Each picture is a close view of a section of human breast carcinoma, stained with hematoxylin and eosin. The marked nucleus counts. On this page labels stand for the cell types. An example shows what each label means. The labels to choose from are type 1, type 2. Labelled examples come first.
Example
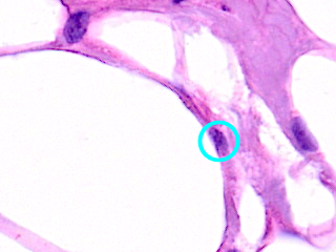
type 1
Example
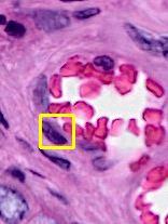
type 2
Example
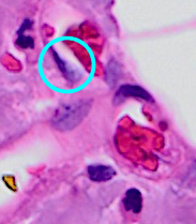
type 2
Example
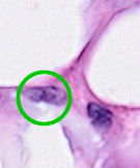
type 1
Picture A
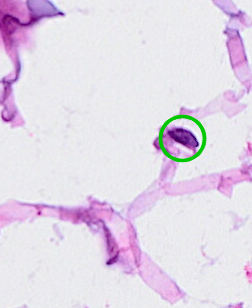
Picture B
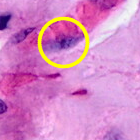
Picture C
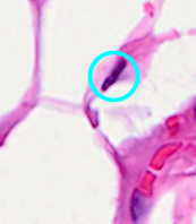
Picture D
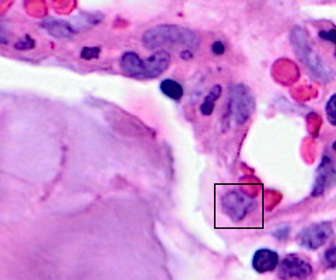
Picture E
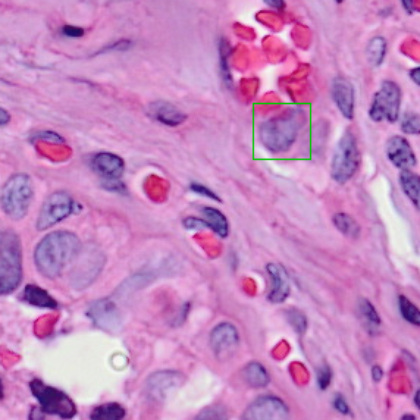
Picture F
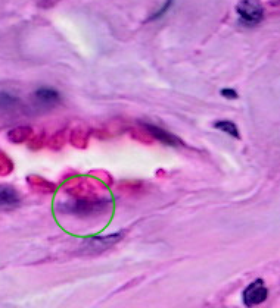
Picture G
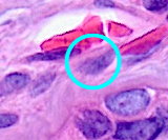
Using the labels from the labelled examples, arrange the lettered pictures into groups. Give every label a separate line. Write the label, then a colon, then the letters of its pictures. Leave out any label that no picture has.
type 1: A, C
type 2: B, D, E, F, G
